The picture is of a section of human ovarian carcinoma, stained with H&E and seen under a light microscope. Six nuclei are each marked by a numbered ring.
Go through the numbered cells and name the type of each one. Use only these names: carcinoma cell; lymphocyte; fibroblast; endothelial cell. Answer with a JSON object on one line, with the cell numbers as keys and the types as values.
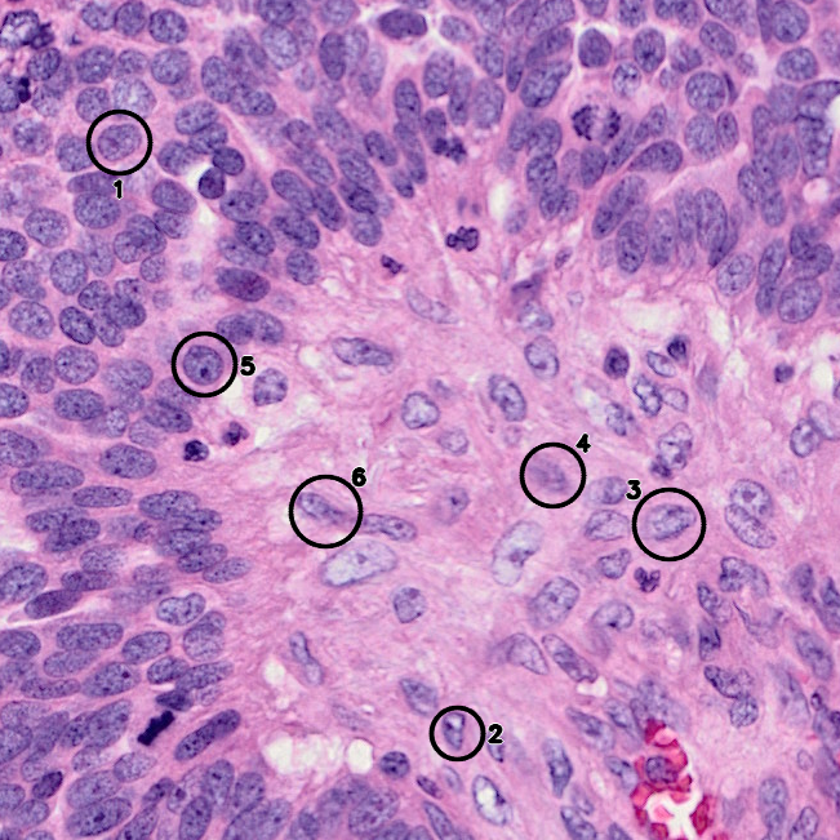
{"1": "carcinoma cell", "2": "fibroblast", "3": "fibroblast", "4": "fibroblast", "5": "carcinoma cell", "6": "fibroblast"}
